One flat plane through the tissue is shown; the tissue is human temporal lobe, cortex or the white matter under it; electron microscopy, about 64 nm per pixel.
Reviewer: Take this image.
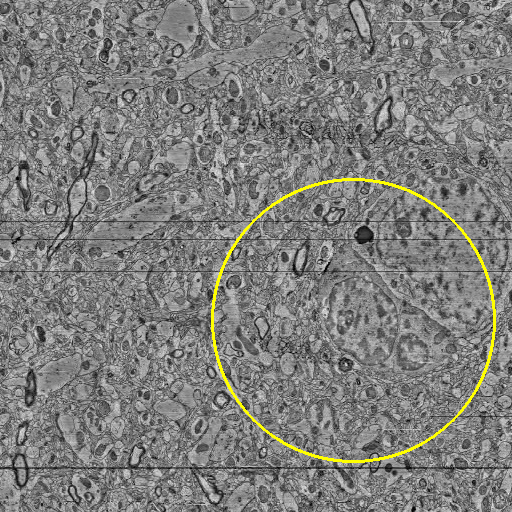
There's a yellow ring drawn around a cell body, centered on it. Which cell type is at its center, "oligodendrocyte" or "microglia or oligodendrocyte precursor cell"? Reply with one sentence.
At the center of the yellow ring is an oligodendrocyte.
